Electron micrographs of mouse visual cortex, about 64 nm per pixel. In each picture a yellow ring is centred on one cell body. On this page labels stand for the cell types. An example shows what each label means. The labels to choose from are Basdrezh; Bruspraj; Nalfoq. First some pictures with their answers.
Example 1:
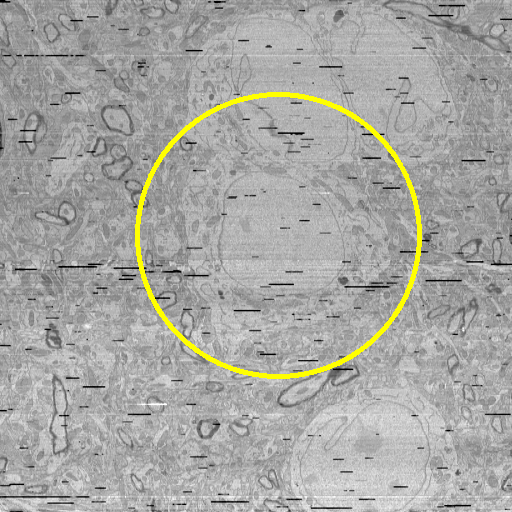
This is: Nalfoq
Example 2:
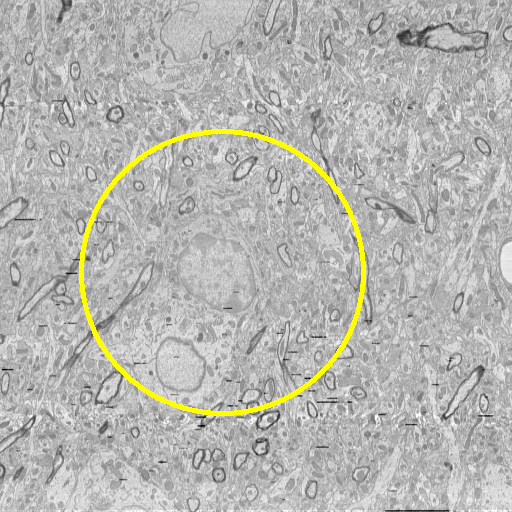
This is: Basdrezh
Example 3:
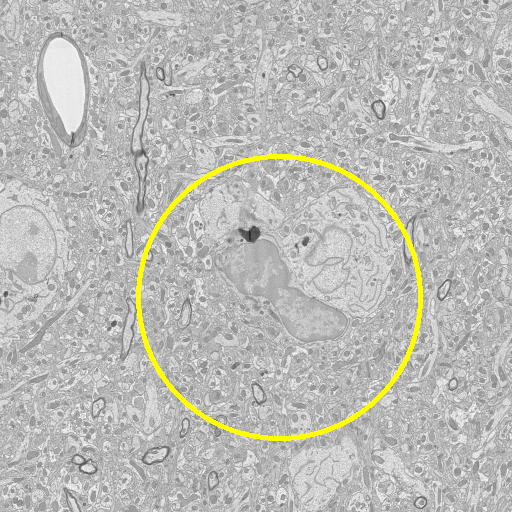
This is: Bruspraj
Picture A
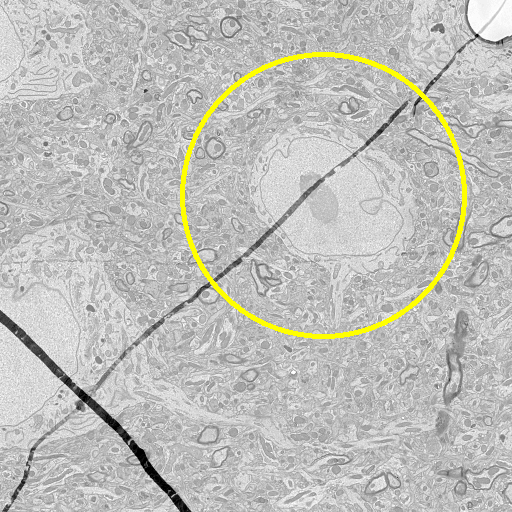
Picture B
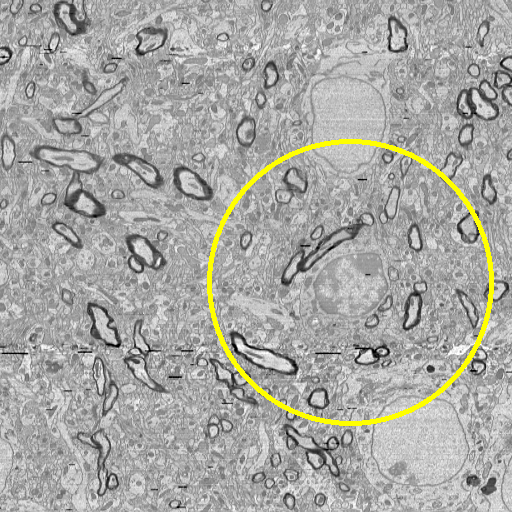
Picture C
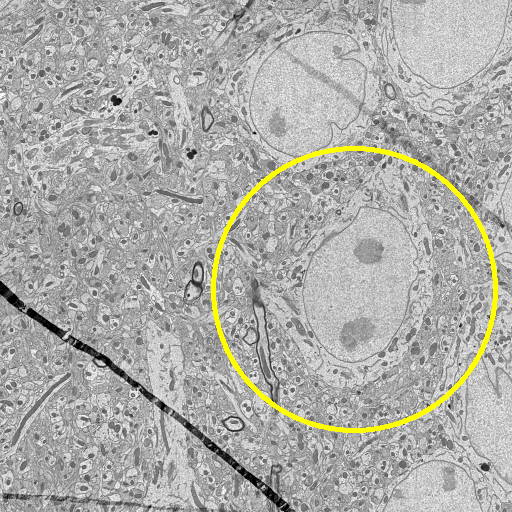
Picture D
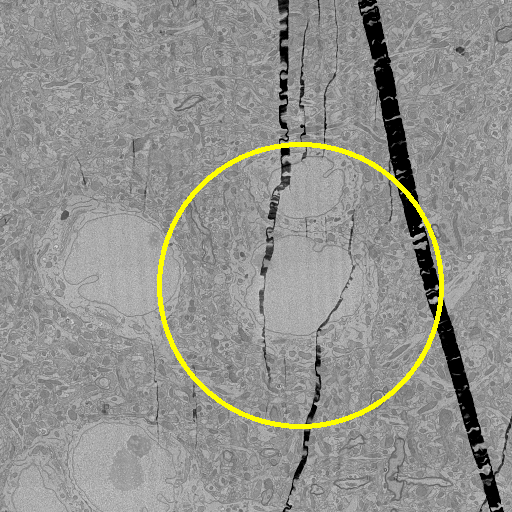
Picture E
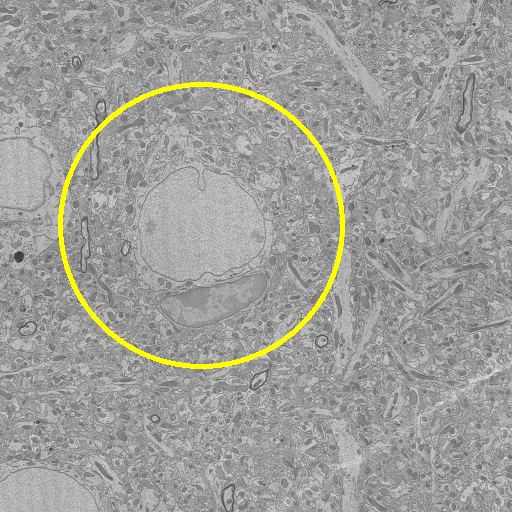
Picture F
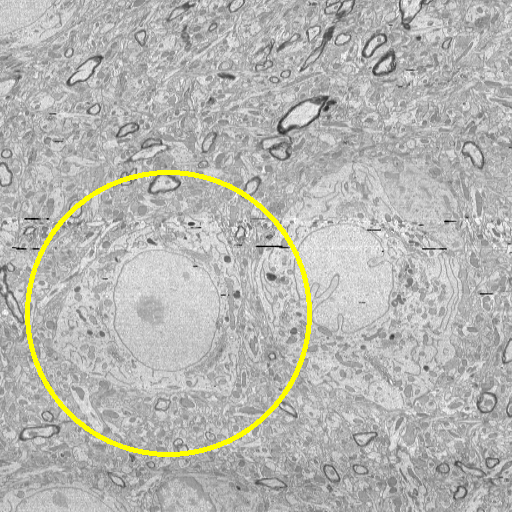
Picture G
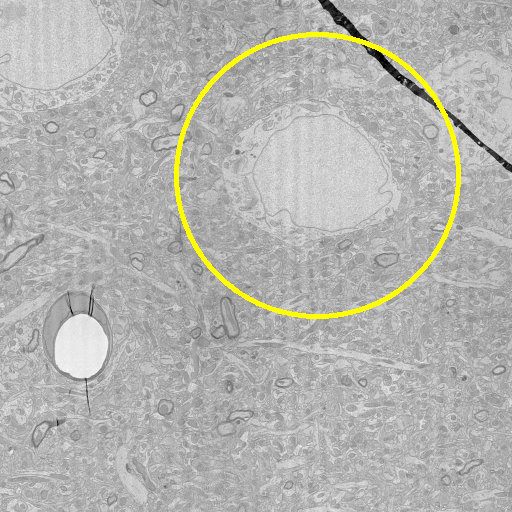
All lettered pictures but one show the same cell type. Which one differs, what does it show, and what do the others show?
B differs and shows Basdrezh; the others show Nalfoq.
